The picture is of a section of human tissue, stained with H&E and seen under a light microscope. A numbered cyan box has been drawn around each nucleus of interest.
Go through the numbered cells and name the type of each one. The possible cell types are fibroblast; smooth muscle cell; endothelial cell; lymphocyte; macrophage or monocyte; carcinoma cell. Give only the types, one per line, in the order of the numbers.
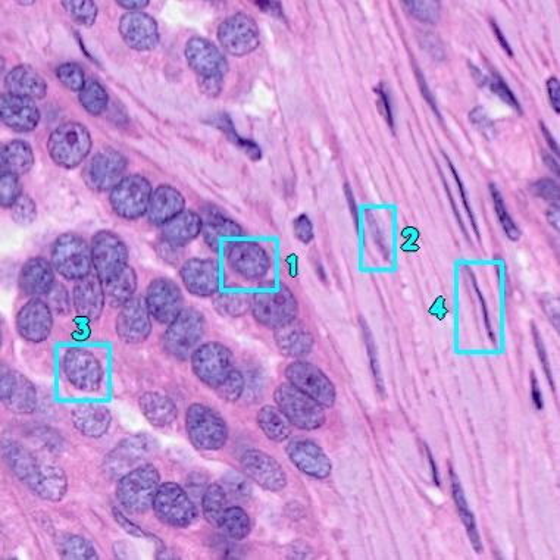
carcinoma cell
fibroblast
carcinoma cell
fibroblast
